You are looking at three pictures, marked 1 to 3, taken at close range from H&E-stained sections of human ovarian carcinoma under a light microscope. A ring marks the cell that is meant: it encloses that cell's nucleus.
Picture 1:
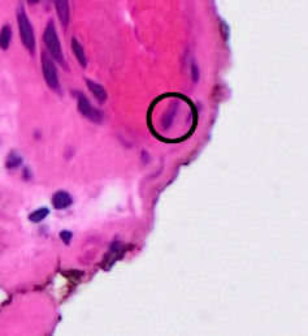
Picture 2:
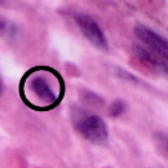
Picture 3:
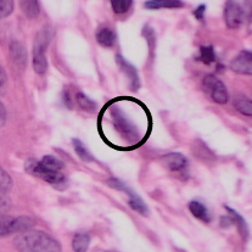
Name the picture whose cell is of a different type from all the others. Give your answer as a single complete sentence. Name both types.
Unlike the rest, which show fibroblasts, picture 1 shows an endothelial cell.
